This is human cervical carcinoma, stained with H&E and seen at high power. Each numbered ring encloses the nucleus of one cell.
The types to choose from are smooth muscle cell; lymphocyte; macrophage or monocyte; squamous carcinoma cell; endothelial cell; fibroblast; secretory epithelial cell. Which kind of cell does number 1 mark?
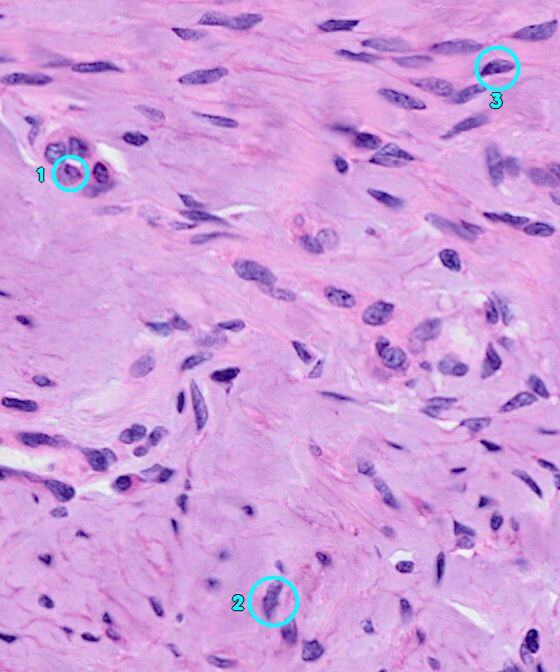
endothelial cell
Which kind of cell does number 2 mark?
fibroblast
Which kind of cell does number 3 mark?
fibroblast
